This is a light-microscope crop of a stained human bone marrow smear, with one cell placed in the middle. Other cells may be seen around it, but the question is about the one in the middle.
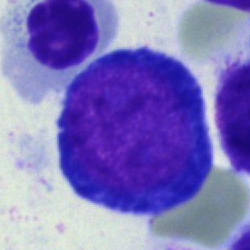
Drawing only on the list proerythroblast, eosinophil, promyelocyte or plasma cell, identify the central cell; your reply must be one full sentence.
For this crop, the central cell is a proerythroblast.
